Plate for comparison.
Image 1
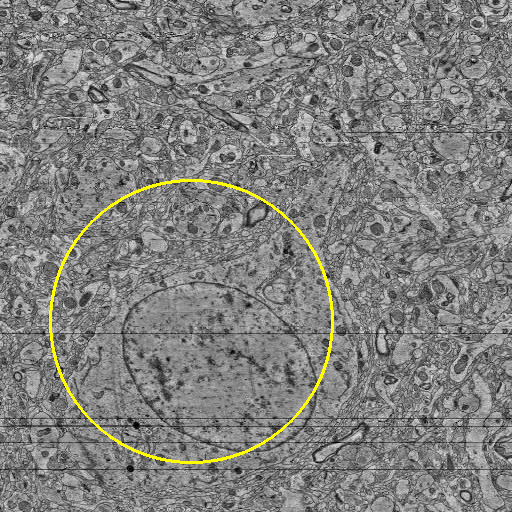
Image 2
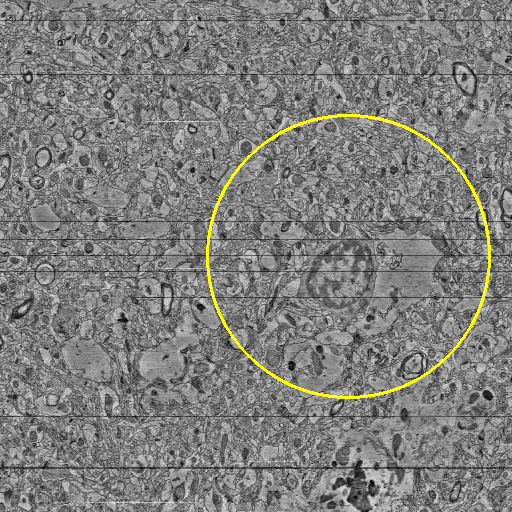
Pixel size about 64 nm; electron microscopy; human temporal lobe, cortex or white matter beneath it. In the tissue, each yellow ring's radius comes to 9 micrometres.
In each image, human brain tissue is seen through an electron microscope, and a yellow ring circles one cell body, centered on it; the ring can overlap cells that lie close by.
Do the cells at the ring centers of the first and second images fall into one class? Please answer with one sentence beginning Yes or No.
No, the first and second images show two classes of cell at the ring centers.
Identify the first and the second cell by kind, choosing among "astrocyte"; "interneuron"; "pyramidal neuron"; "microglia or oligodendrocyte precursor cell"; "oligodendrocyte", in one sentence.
The one in the first picture is a pyramidal neuron, while the one in the second is an oligodendrocyte.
